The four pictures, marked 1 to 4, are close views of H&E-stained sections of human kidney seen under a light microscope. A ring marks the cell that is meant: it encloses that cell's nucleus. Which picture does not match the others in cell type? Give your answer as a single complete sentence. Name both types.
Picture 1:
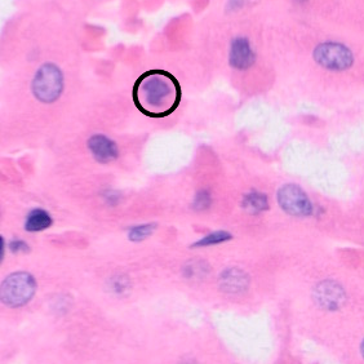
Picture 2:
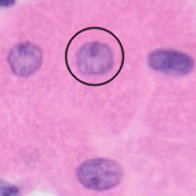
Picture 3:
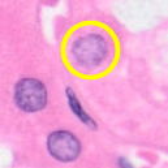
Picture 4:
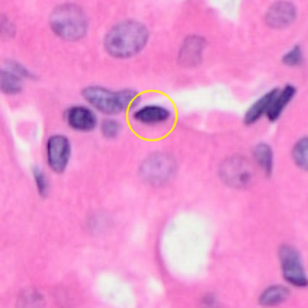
Picture 4 differs, because its cell is an endothelial cell and the rest are proximal tubule cells.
